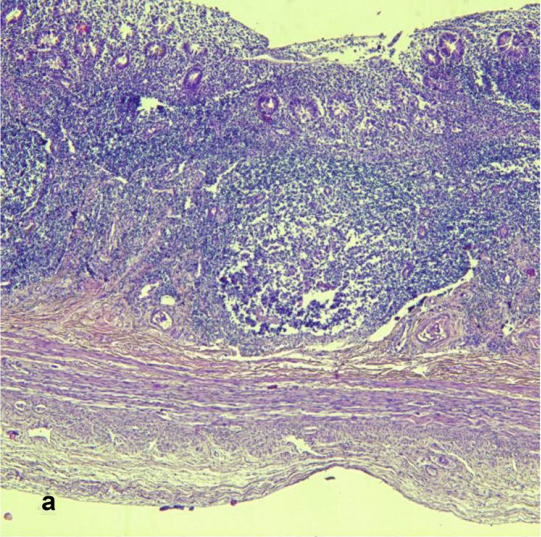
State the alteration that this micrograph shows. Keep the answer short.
Inflammation by lympho-monocytes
